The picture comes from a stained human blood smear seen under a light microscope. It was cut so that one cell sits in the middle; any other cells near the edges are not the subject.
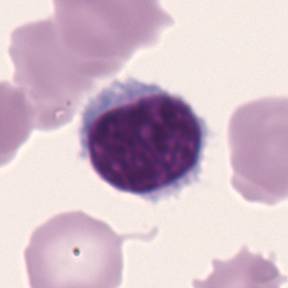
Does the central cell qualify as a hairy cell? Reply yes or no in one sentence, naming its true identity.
Yes, the cell here in the middle is a hairy cell.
